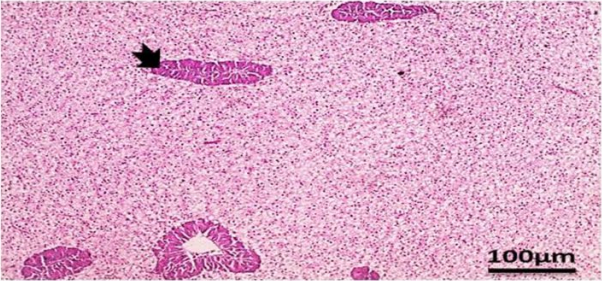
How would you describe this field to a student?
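This is fish liver at low power: a broad field of pale pink hepatocytes with small dark nuclei scattered evenly, their cytoplasm light and finely vacuolated, separated by narrow sinusoids. Standing out against this pale background are islands of hepatopancreas, exocrine pancreatic tissue that stains a much deeper purple, one of them wrapped around a clear vessel lumen.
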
